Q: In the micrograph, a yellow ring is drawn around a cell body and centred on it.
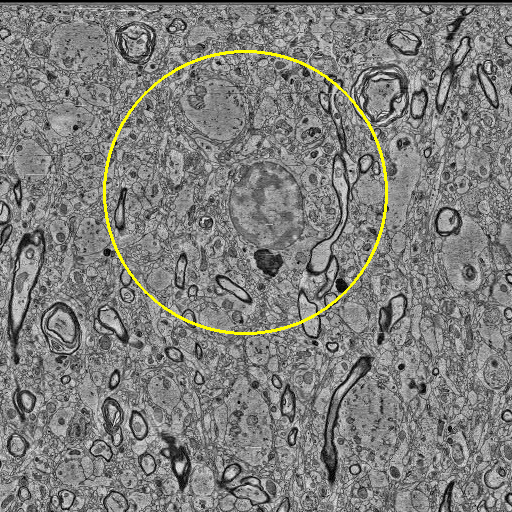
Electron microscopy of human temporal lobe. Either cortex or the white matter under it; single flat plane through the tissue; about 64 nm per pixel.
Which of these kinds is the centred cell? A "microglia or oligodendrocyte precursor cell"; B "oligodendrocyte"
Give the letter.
B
